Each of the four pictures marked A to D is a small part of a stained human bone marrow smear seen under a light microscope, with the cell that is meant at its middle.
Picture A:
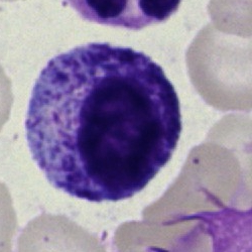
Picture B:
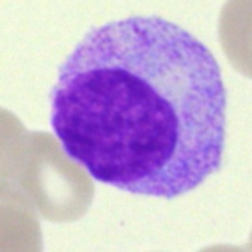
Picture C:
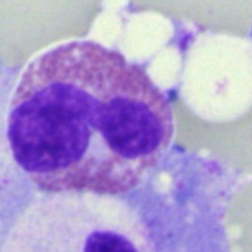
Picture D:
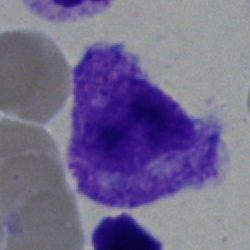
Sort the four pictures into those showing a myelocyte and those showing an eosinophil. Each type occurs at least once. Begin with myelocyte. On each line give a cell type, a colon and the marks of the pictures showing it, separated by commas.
myelocyte: A, B, D
eosinophil: C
